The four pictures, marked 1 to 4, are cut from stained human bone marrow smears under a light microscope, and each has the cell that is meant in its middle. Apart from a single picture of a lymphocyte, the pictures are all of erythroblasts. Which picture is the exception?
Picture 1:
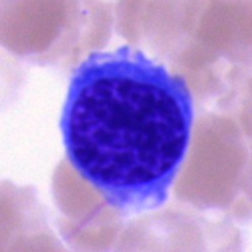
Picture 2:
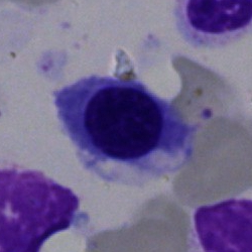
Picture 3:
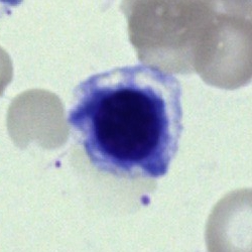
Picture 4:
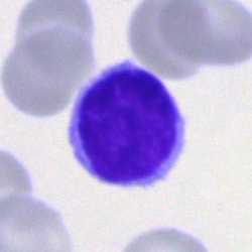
4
